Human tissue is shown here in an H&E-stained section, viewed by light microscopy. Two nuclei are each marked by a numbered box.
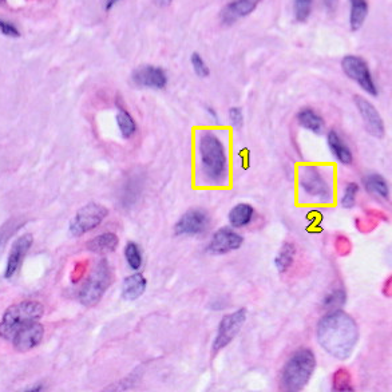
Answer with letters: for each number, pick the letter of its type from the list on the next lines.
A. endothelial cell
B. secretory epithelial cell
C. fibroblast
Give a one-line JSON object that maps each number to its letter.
{"1": "C", "2": "A"}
